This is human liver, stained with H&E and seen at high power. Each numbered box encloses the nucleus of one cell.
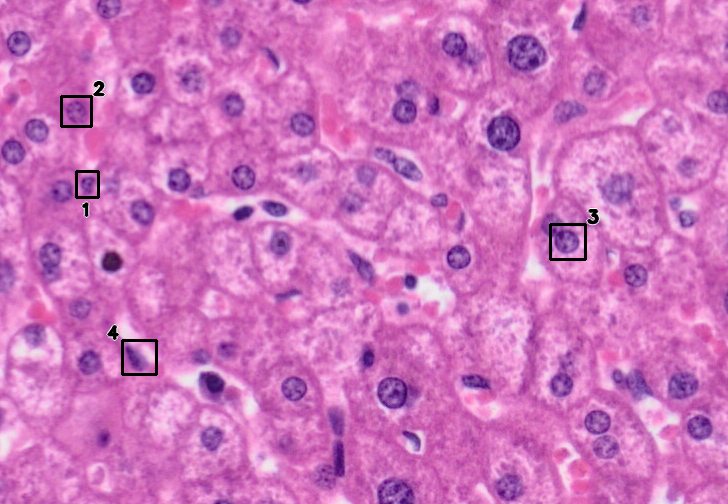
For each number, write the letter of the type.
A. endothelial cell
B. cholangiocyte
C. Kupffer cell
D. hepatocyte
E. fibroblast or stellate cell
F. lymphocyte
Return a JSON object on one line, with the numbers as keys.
{"1": "E", "2": "D", "3": "D", "4": "A"}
